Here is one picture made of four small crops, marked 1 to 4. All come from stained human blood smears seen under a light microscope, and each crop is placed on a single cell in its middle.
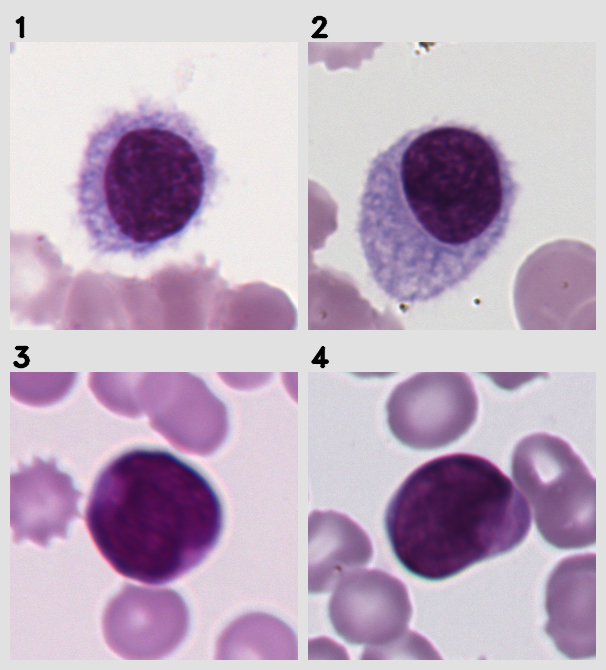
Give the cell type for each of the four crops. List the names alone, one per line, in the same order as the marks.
hairy cell
hairy cell
myeloblast
myeloblast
